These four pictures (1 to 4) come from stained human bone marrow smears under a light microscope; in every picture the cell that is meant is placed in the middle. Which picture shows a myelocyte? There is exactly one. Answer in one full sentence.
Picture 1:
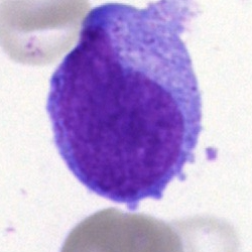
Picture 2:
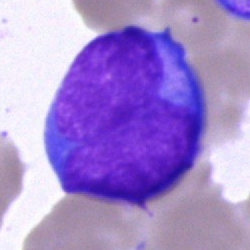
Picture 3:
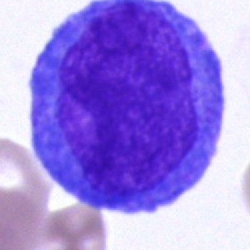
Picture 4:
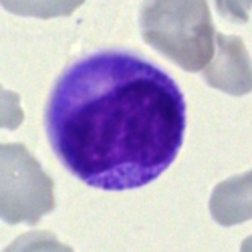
The myelocyte is the one in picture 4.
